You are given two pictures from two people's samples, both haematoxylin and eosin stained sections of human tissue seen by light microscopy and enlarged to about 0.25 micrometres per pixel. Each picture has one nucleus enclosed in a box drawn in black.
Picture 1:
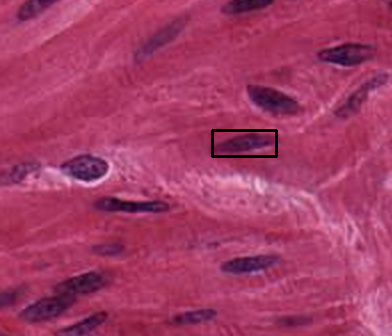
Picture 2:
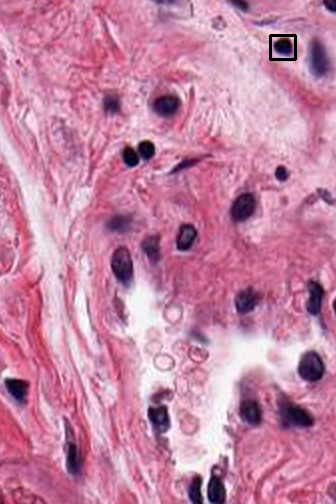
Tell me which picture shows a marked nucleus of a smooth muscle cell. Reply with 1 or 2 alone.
1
